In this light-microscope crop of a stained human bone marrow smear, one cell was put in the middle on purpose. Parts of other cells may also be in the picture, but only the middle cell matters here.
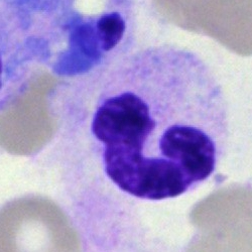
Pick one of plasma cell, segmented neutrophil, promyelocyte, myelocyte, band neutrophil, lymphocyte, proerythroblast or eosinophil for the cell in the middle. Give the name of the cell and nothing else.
band neutrophil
